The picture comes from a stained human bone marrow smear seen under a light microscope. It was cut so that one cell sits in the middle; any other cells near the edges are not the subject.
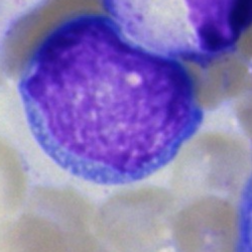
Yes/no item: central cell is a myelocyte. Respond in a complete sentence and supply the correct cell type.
No, the centred cell is a blast instead of a myelocyte.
